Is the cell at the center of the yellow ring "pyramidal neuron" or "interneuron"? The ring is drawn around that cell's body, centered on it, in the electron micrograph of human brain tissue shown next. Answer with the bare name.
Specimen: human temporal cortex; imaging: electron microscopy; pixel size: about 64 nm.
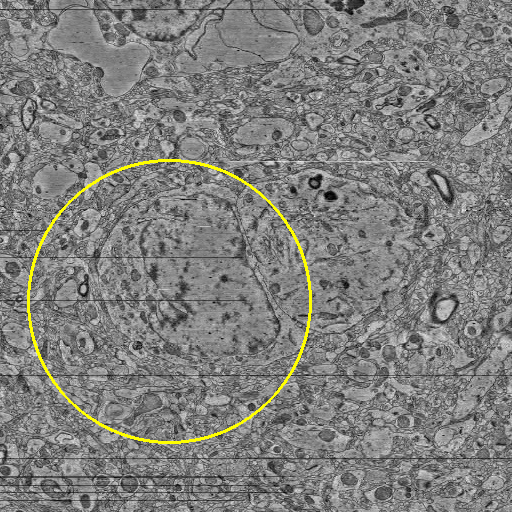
interneuron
